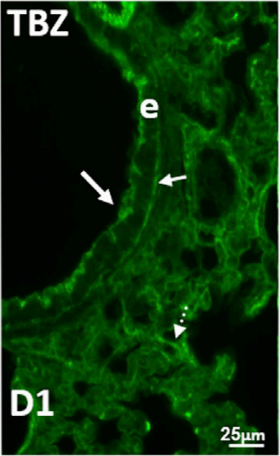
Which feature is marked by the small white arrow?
Basal membrane.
